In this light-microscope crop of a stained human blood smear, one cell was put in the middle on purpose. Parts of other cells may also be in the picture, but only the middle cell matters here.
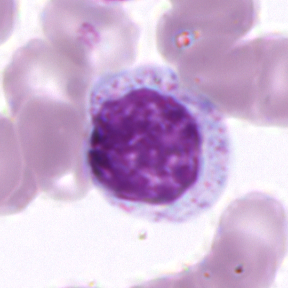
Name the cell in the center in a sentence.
The cell in the middle of the field of view is a myelocyte.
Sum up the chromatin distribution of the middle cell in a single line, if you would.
The chromatin pattern here is coarse and clumped.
